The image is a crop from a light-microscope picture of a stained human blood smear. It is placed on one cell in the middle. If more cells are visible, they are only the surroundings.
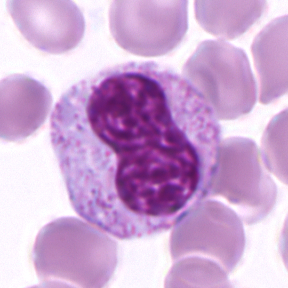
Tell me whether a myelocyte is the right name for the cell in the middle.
no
